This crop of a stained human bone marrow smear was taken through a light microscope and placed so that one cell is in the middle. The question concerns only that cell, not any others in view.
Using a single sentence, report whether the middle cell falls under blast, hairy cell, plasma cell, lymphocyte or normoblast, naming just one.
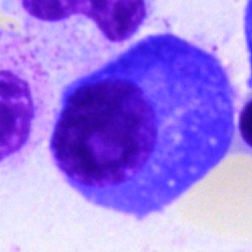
Classification of the middle cell gives a plasma cell.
